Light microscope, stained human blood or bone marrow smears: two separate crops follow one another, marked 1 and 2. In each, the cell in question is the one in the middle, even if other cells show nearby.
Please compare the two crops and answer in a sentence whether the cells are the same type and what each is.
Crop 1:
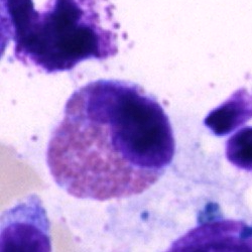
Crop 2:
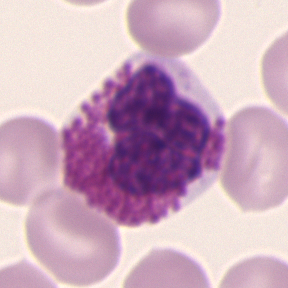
Yes, as shown in both crops, the central cells are eosinophils.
